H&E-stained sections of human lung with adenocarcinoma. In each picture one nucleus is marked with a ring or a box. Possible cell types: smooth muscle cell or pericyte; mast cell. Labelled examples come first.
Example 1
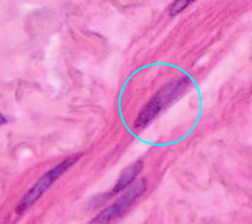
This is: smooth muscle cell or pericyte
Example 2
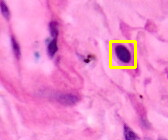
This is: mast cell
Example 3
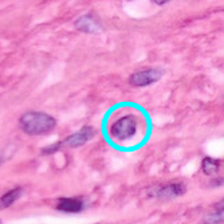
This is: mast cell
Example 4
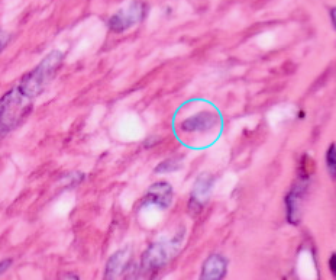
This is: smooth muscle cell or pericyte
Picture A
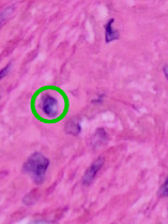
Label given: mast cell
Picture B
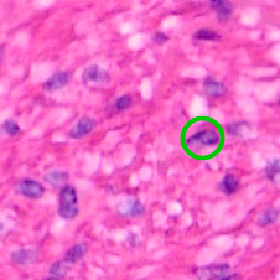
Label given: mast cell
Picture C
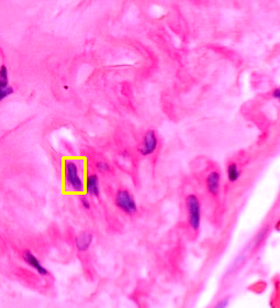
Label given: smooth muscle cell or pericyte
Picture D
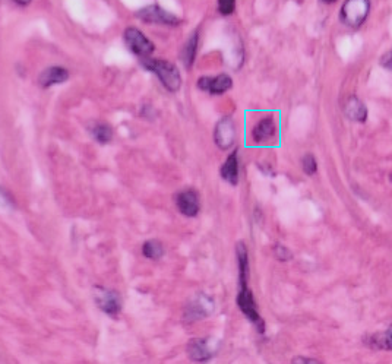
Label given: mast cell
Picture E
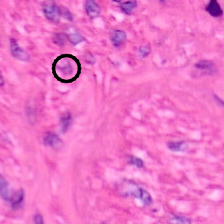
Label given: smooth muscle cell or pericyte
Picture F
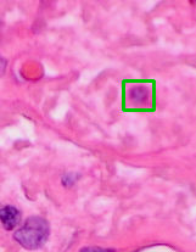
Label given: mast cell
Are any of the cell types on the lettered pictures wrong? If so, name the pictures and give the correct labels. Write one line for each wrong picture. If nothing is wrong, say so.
Nothing to fix; every label fits.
